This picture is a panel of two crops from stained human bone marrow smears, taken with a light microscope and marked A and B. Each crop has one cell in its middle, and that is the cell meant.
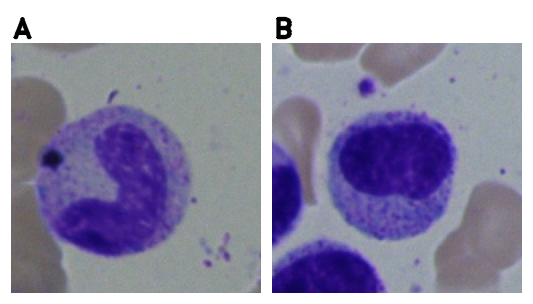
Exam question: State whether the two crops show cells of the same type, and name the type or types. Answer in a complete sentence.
No, crop A captures a band neutrophil, and crop B captures a metamyelocyte.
